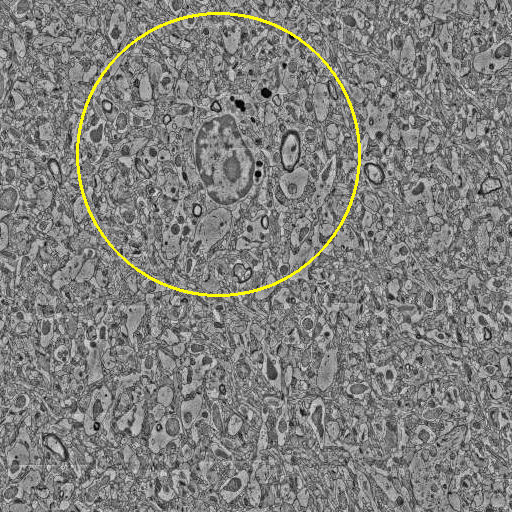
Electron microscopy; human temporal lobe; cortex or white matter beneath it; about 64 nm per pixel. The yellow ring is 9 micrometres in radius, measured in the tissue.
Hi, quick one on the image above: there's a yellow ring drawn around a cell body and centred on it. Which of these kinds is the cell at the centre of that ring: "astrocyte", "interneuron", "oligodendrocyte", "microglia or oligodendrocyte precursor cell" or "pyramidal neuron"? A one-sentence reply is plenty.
The cell at the centre of the ring is a microglial cell or oligodendrocyte precursor cell.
